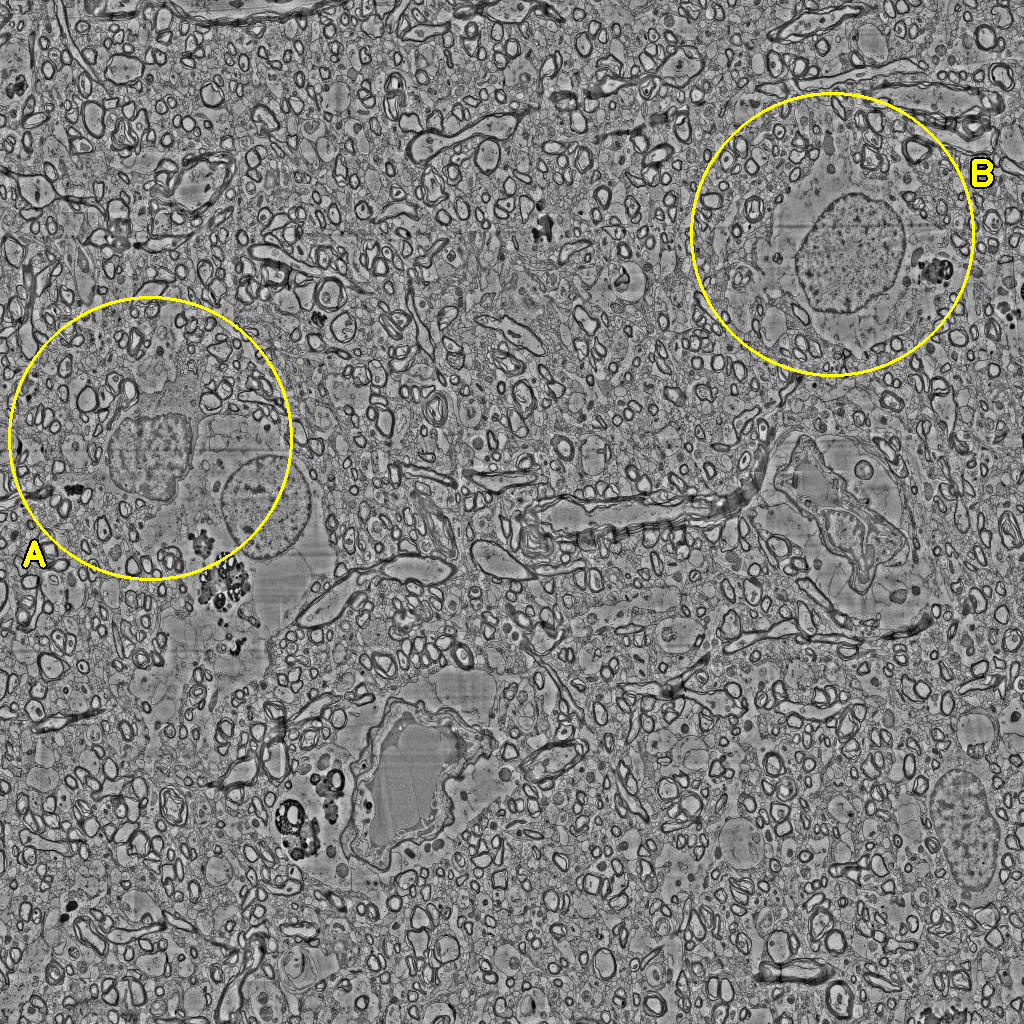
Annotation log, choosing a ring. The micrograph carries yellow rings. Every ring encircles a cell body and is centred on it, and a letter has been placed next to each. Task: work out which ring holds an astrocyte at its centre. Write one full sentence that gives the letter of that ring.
In the micrograph, the ring centred on the cell asked for carries the letter B.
